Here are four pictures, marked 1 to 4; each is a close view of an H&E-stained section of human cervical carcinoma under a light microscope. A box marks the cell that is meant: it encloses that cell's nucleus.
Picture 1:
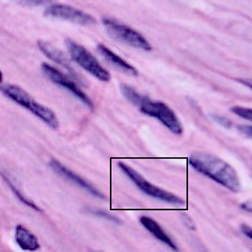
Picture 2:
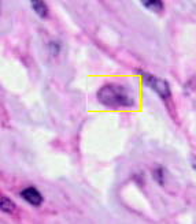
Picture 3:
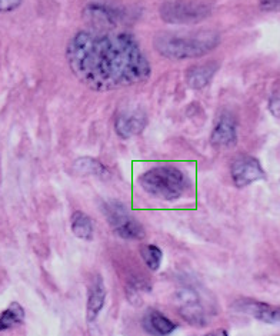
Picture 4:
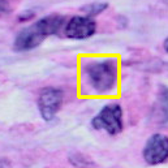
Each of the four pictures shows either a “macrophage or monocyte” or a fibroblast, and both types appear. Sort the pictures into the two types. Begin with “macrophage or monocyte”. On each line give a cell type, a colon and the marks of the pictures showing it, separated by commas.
macrophage or monocyte: 2, 3, 4
fibroblast: 1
